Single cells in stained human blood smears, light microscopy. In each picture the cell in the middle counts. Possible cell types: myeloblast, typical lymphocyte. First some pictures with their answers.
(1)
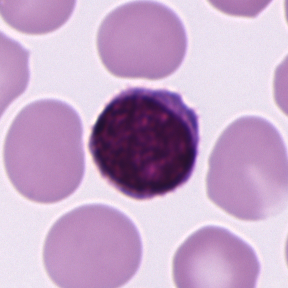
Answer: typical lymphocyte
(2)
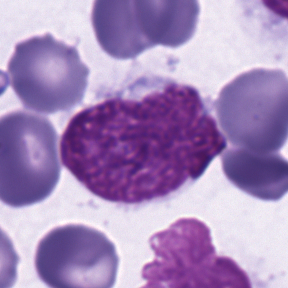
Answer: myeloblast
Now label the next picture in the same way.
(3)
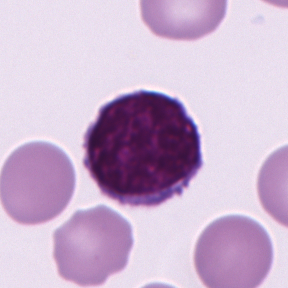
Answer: typical lymphocyte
